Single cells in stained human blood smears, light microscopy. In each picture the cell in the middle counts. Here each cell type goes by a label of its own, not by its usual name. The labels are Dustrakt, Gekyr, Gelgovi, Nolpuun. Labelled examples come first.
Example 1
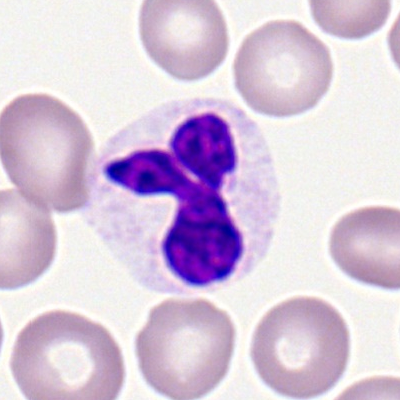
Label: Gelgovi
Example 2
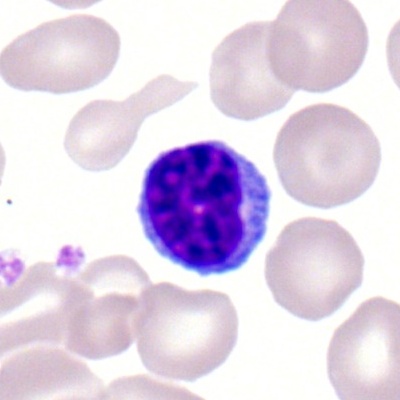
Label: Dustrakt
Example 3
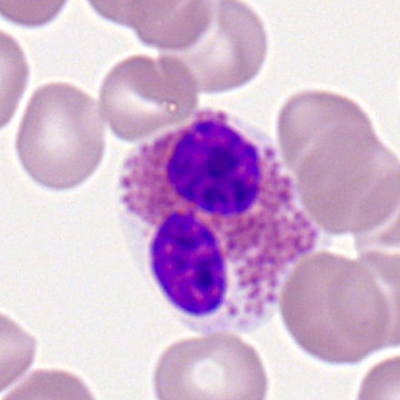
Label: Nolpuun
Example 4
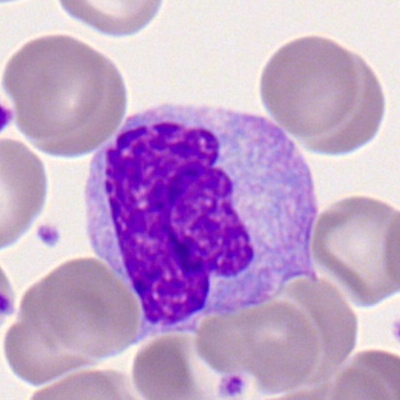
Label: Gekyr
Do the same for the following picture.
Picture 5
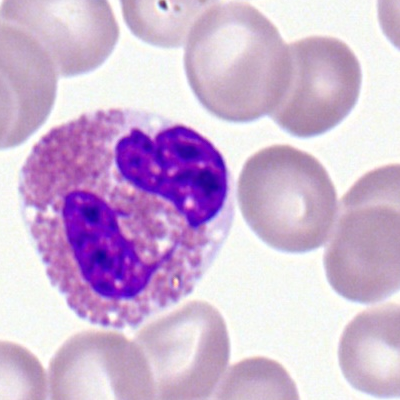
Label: Nolpuun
